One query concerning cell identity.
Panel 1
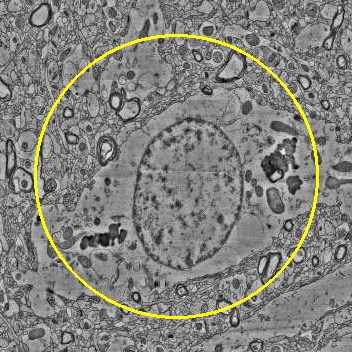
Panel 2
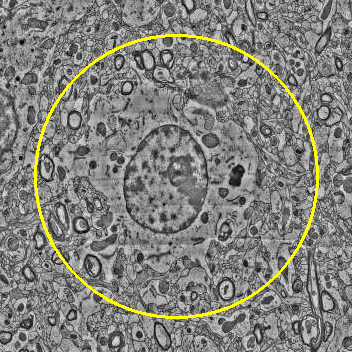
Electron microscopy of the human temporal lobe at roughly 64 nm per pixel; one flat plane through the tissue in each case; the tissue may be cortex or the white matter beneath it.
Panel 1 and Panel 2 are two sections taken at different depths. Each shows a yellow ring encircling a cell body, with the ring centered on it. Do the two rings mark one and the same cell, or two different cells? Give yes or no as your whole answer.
no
